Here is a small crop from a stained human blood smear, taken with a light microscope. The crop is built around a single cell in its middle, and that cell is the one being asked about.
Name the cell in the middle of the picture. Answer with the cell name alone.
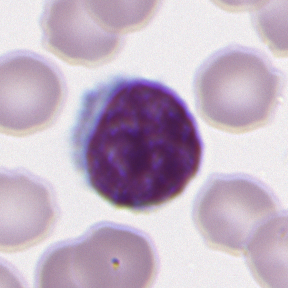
lymphocyte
